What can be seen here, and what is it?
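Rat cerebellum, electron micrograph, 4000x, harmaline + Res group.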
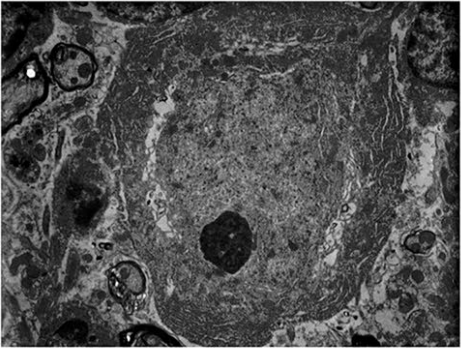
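The middle is taken up by a big, round, pale nucleus with finely granular chromatin, and within it sits one large, dense, dark nucleolus. Around the nucleus lies a band of darker cytoplasm with streaky, layered membranes. The cell body is well rounded and its outline is intact. Outside it lie smaller dark cell profiles and round ring-shaped myelinated fibres cut across, set in a lighter background of neuropil.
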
